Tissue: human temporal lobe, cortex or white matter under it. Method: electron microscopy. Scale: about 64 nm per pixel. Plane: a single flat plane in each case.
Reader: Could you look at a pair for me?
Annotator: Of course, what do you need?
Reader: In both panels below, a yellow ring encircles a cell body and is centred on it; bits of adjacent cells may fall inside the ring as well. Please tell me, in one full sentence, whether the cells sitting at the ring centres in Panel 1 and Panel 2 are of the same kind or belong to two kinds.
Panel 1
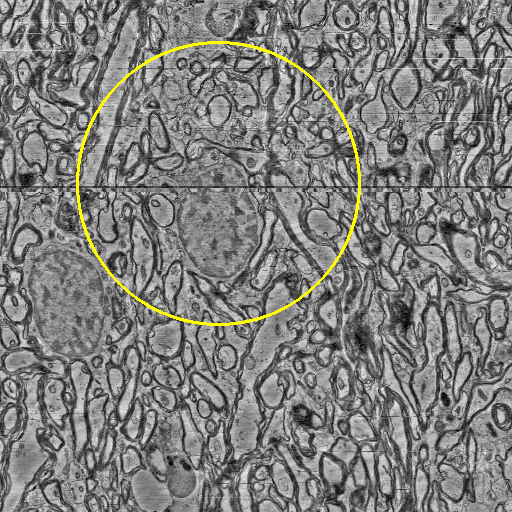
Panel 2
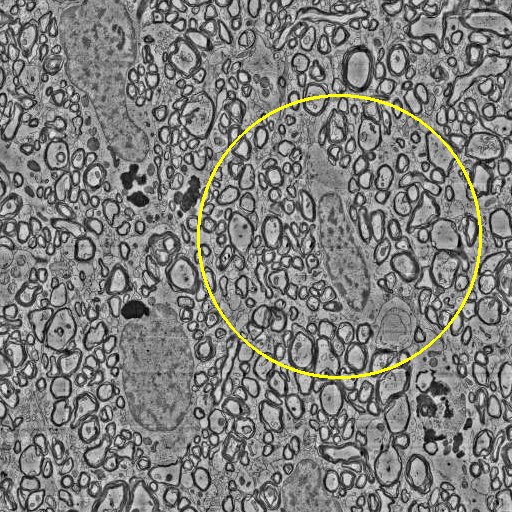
The cell at the ring's centre in Panel 1 and the one in Panel 2 belong to two kinds.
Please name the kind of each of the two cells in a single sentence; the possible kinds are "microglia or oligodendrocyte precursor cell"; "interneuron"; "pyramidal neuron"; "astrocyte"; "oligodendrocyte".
In the first picture the ring is centred on an oligodendrocyte, and in the second on an astrocyte.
